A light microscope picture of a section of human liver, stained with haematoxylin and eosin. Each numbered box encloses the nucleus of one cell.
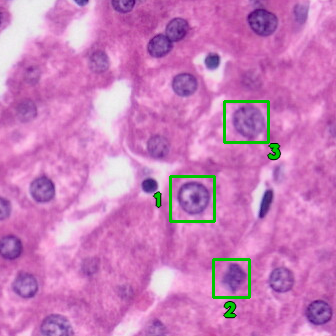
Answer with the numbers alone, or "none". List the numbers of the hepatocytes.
1, 3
